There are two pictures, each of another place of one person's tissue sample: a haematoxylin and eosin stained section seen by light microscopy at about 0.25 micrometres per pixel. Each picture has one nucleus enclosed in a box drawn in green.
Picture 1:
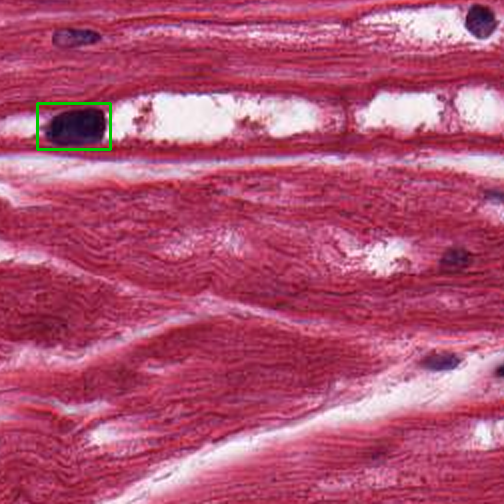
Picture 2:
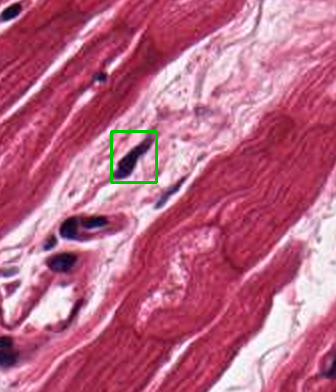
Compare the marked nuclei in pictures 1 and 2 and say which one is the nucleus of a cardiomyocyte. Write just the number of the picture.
1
